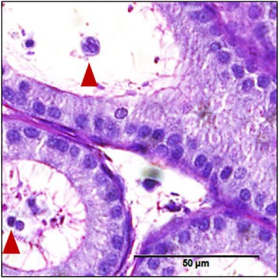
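This is a section through ducts of the epididymis, lined by a columnar epithelium with oval basal nuclei and pale cytoplasm. The lumens are largely empty and pale, with only a loose scatter of material instead of dense masses of sperm. Free within the lumens lie rounded cells with round, dark nuclei, detached from the lining, which are abnormal germ cells. A thin magenta band of connective tissue lies between neighbouring duct profiles.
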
